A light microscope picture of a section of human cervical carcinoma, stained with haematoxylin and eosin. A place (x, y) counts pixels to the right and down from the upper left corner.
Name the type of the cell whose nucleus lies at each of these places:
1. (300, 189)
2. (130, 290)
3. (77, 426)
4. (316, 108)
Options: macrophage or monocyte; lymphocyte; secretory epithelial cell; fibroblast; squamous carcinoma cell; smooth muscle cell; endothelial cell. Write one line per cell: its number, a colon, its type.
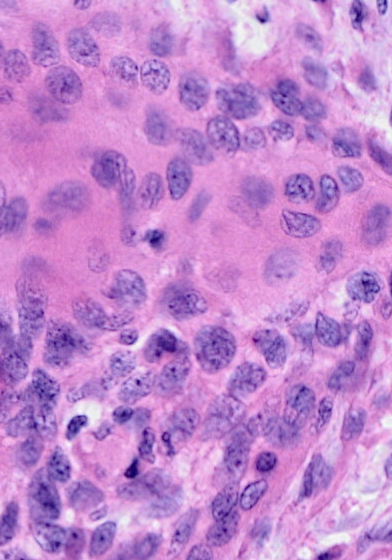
1: squamous carcinoma cell
2: squamous carcinoma cell
3: lymphocyte
4: squamous carcinoma cell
